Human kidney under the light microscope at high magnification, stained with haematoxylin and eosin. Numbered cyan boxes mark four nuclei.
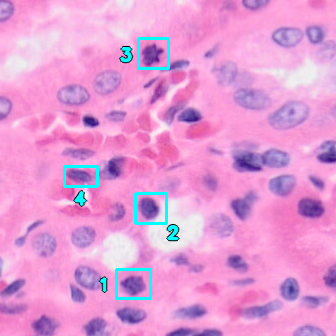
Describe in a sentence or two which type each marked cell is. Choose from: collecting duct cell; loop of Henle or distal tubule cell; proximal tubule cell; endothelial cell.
Cell 1 is a loop of Henle or distal tubule cell, cell 2 is a loop of Henle or distal tubule cell, cell 3 is a proximal tubule cell and cell 4 is an endothelial cell.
